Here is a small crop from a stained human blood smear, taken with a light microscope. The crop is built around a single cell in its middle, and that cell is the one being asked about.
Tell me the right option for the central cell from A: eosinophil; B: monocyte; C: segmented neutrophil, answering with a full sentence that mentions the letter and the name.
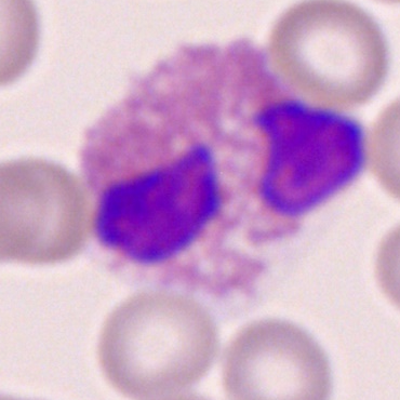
Option A is the correct selection, for the cell at the centre is an eosinophil.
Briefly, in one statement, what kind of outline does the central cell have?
The edge is uneven, and this unevenness takes the form of ragged stretches or projections.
